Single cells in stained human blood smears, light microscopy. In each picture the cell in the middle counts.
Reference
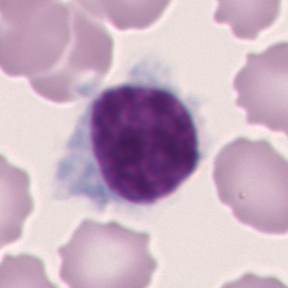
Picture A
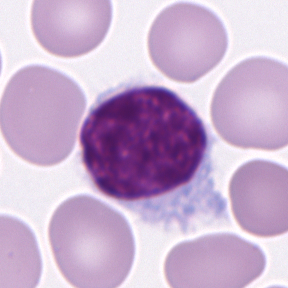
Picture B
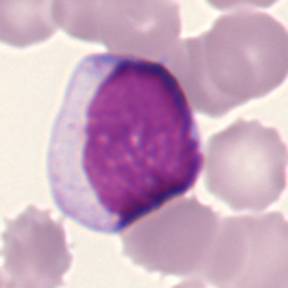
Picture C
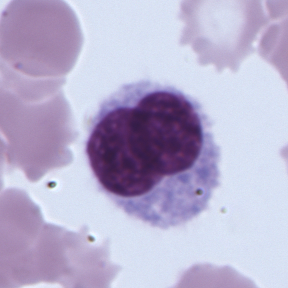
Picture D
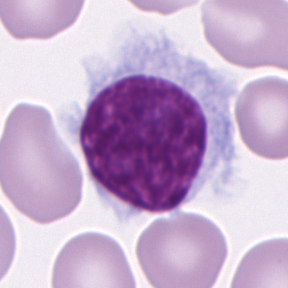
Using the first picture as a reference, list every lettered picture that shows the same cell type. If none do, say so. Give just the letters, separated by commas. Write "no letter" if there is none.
A, C, D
